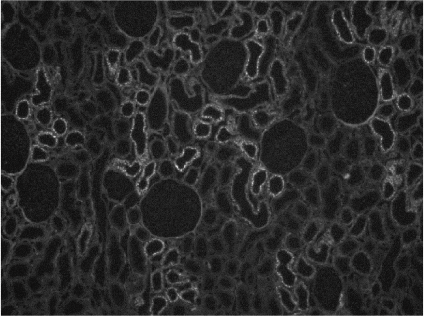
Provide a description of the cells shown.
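This is an overview of kidney cortex in which many tubules show bright labelling of their walls. Several large round dark structures, the glomeruli, lie scattered among them without labelling. The labelling is strongest in the tubule walls and absent from lumens, so the tubules stand out as bright rings and loops against a darker background.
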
